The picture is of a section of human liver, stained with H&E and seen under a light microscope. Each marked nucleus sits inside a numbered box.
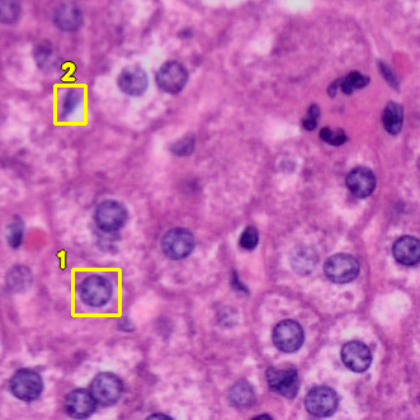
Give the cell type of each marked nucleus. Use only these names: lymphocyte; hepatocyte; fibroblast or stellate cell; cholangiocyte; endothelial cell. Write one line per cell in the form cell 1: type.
cell 1: hepatocyte
cell 2: endothelial cell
